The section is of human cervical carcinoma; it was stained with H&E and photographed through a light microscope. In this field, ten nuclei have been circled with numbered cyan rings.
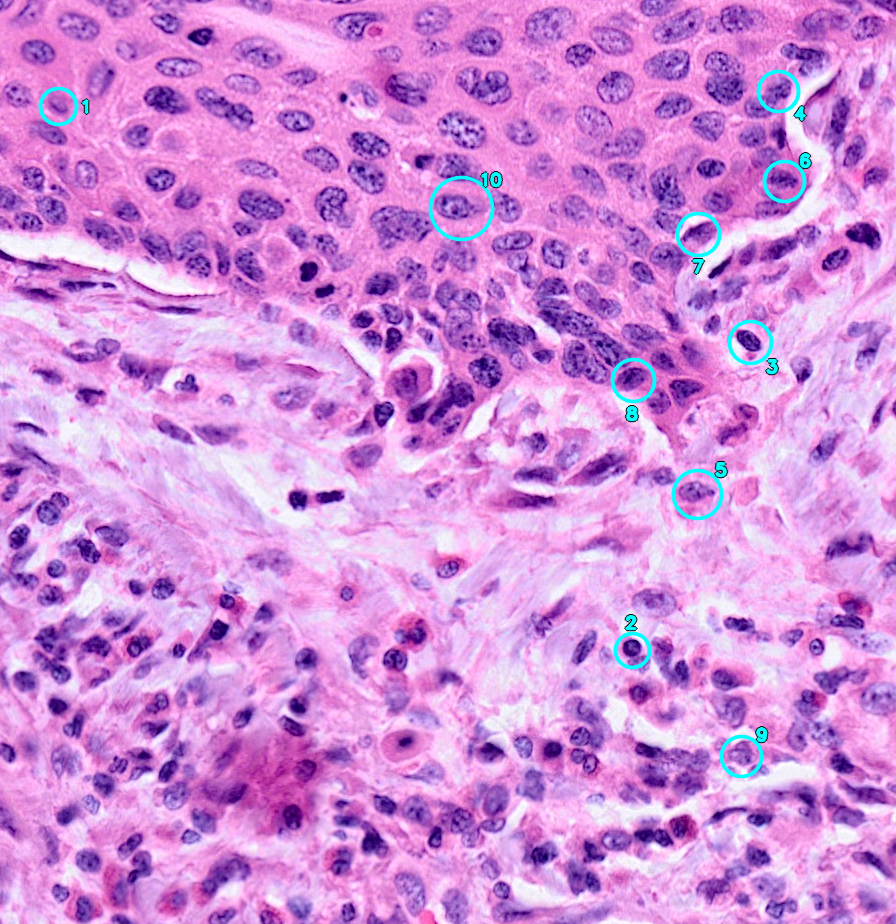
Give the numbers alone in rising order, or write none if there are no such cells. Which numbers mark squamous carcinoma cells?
1, 4, 6, 7, 8, 10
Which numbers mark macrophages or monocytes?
5, 9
